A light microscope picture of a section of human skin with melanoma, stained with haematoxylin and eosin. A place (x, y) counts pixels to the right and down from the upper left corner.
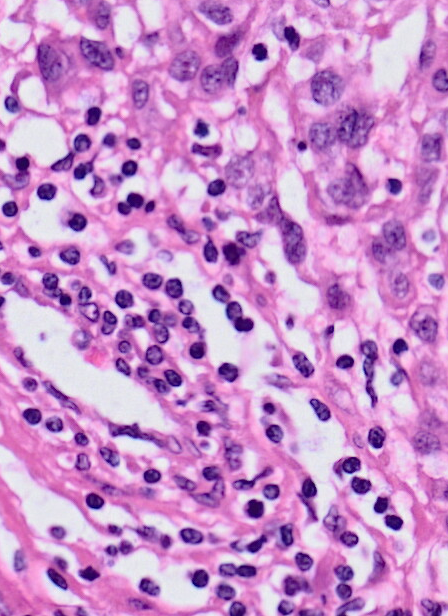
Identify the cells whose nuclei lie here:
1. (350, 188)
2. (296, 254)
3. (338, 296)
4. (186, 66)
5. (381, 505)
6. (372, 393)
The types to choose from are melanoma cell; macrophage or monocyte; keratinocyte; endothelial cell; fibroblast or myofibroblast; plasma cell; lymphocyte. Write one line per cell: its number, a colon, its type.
1: melanoma cell
2: melanoma cell
3: melanoma cell
4: melanoma cell
5: lymphocyte
6: fibroblast or myofibroblast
